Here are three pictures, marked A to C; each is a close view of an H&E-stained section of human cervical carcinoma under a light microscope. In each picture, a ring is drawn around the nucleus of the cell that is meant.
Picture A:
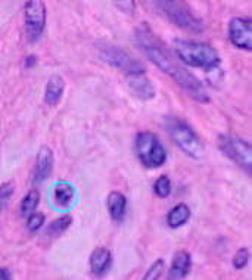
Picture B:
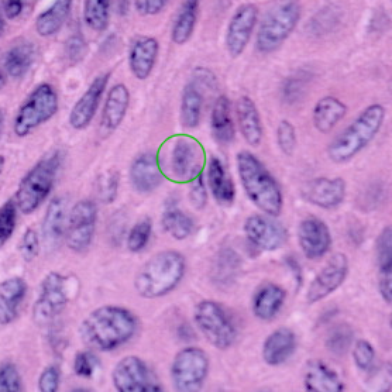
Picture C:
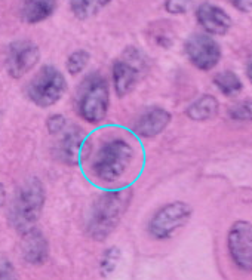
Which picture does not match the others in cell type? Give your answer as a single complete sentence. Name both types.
All pictures except A show squamous carcinoma cells; picture A shows a smooth muscle cell.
